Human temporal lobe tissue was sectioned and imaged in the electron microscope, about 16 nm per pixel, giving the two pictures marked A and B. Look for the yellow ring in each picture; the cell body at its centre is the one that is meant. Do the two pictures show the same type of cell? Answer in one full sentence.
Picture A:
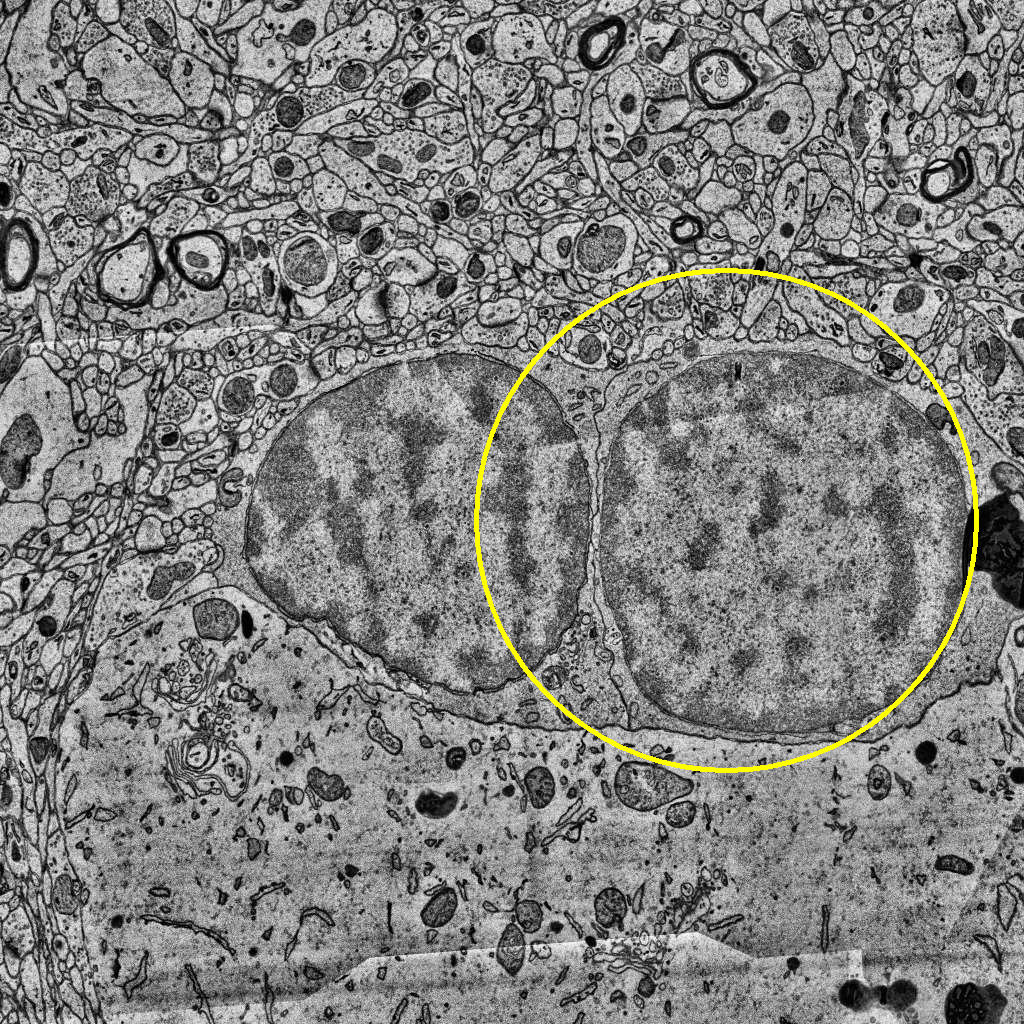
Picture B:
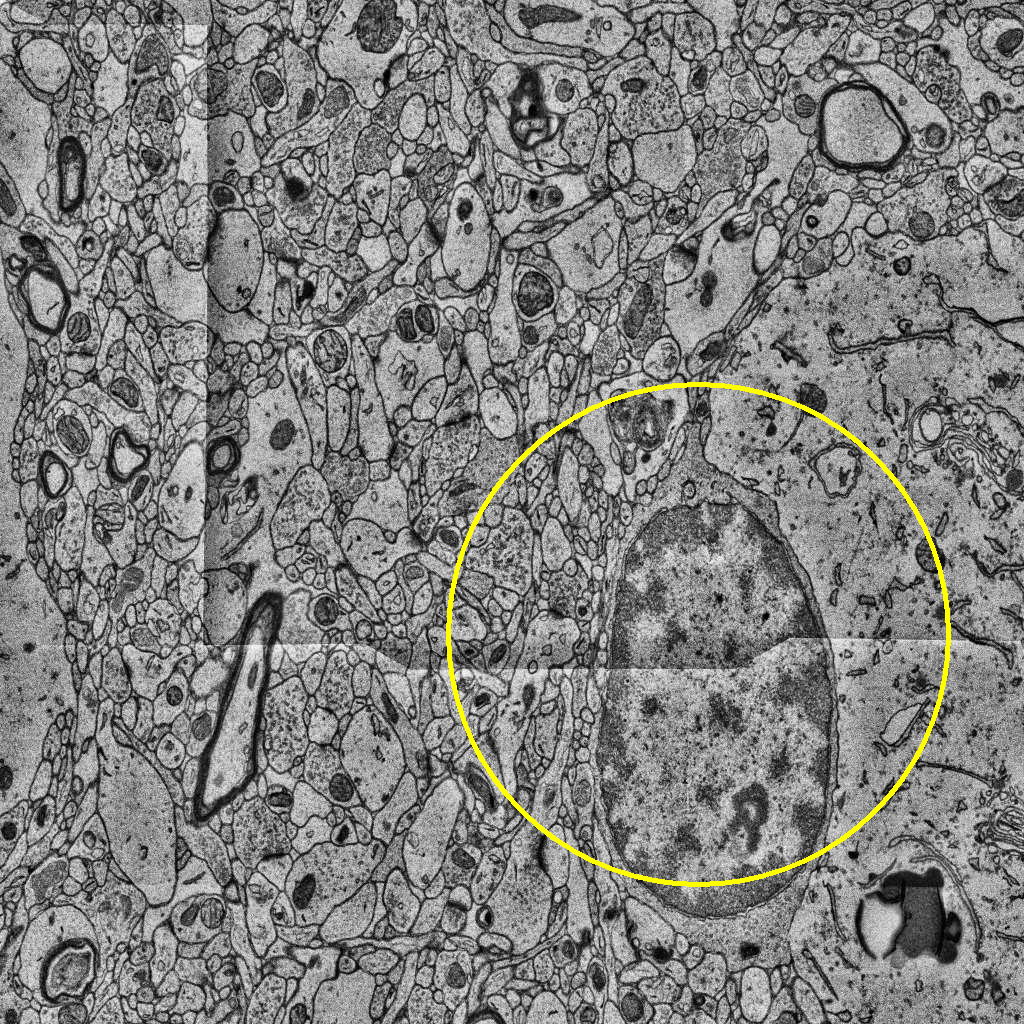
Yes, both cells are oligodendrocytes.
